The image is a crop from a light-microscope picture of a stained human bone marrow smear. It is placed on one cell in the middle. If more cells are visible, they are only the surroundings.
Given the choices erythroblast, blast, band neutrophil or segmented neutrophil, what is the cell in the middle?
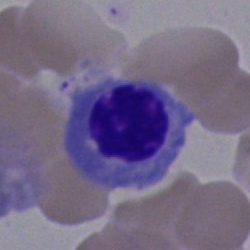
erythroblast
